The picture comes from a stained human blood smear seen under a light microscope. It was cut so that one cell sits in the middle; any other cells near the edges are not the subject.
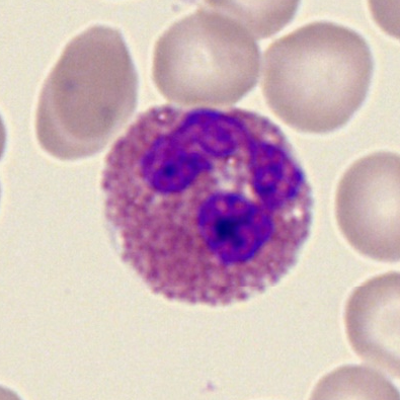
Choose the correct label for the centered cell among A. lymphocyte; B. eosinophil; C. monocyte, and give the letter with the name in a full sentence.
The cell at the centre, correctly named in option B, is an eosinophil.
